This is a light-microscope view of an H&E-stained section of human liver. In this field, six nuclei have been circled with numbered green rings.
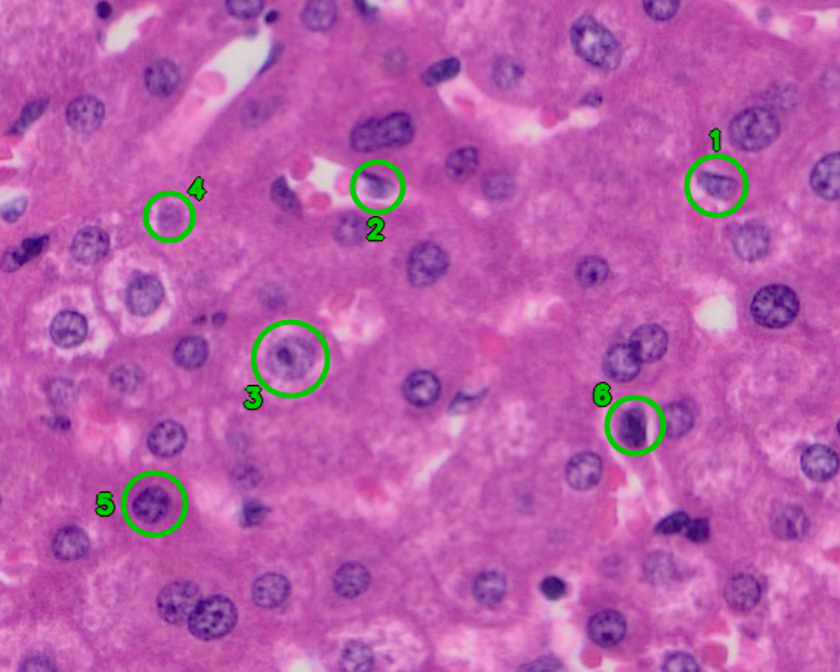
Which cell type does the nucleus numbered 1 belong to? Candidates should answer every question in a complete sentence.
The cell that bears the number 1 is an endothelial cell.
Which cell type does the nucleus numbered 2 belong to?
The one numbered 2 among the marked cells is an endothelial cell.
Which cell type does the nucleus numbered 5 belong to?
Cell 5 in the field of view is a hepatocyte.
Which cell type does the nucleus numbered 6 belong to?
The cell assigned the number 6 is a Kupffer cell.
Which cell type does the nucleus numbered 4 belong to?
The one labeled 4 is a hepatocyte, to put it simply.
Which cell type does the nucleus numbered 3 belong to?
Cell 3 should be recorded as a hepatocyte.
